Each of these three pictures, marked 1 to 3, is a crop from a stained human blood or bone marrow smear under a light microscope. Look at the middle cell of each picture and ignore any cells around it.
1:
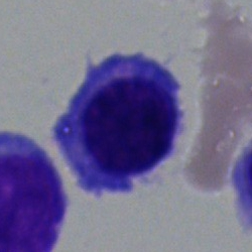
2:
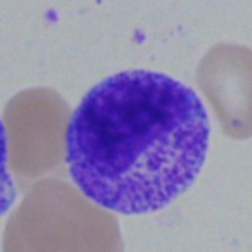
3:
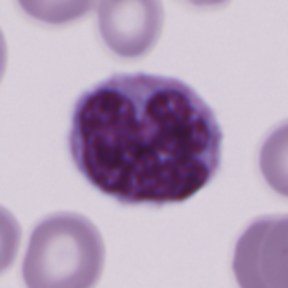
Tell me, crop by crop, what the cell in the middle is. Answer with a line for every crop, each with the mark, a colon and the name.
1: plasma cell
2: myelocyte
3: monocyte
